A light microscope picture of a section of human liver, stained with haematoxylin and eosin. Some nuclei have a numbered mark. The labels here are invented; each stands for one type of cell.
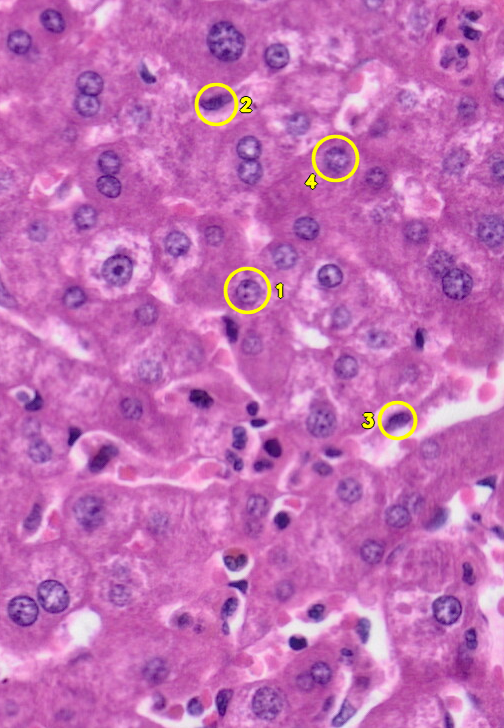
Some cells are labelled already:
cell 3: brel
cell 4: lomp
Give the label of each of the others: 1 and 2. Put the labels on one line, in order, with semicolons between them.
lomp; brel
